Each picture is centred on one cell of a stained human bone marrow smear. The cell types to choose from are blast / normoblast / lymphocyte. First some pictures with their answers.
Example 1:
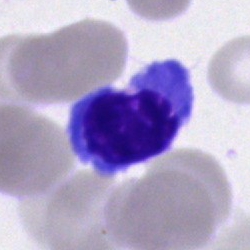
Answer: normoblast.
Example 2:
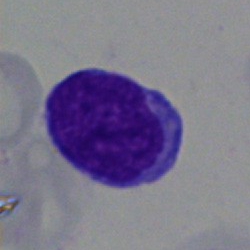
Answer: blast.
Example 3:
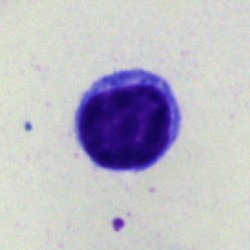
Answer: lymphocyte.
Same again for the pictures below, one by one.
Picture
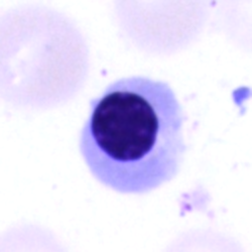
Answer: normoblast.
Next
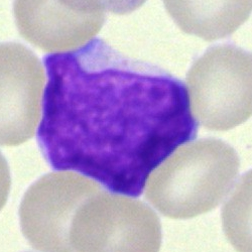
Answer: blast.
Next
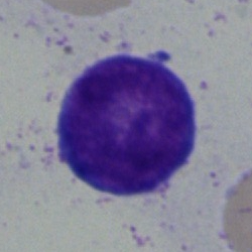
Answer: blast.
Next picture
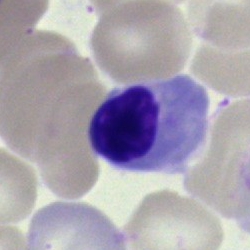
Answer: normoblast.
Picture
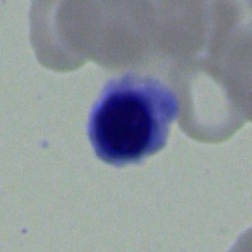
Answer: normoblast.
